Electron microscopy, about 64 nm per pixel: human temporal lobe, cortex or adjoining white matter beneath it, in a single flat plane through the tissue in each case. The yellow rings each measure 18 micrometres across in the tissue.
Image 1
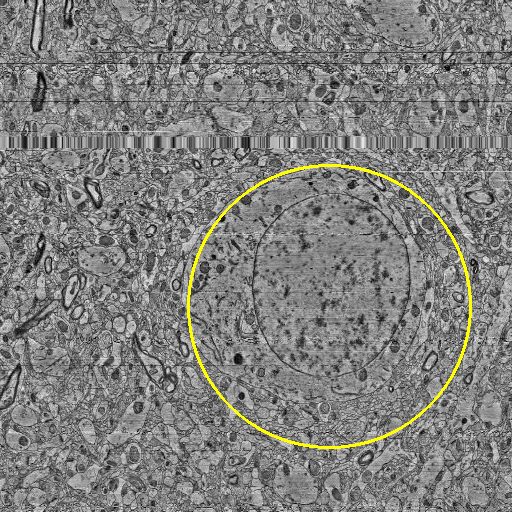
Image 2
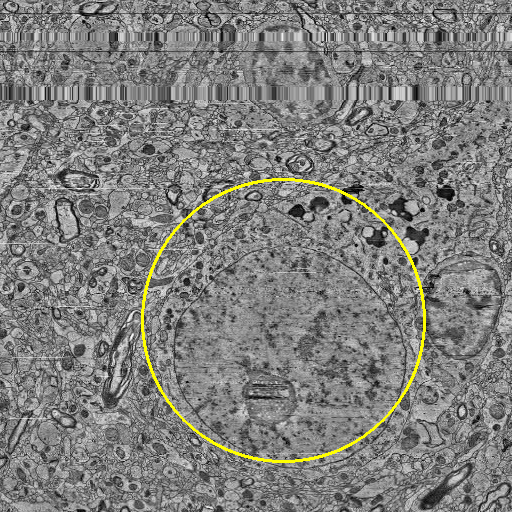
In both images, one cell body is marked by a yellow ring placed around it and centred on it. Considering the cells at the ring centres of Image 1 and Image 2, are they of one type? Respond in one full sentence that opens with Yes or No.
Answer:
Yes, a single type applies to the ring-centred cells of both Image 1 and Image 2.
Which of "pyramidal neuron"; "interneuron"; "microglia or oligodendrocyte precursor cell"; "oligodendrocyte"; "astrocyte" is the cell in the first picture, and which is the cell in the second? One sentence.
In both pictures the ring is centred on a pyramidal neuron.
